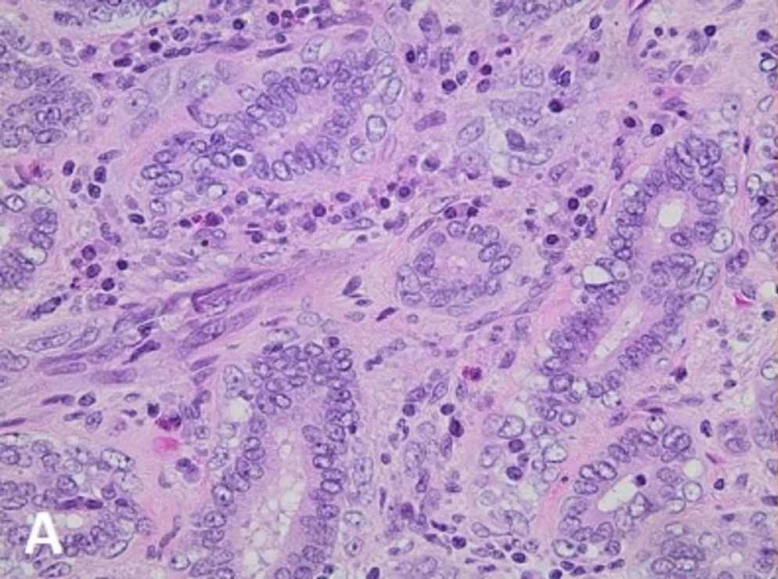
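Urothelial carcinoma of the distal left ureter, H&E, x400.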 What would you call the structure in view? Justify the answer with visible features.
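Glands. Tumour cells are lined up in tubules around small central lumens. Several small empty spaces are enclosed by rings of crowded tumour cells.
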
